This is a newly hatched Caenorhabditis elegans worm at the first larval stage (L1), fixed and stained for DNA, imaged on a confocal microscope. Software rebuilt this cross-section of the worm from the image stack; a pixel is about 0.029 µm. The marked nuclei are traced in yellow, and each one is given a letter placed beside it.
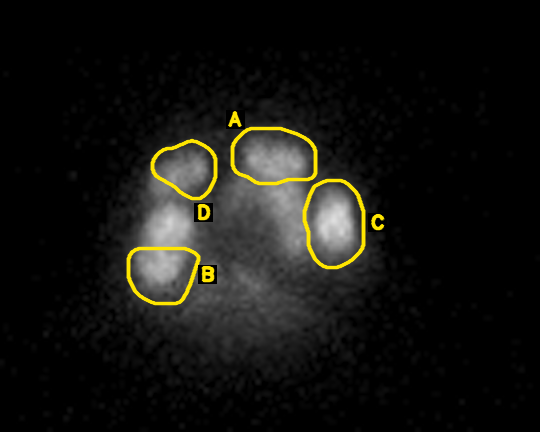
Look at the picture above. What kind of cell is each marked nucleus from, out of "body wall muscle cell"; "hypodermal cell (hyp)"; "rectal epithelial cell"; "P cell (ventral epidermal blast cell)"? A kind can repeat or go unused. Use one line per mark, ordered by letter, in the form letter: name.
A: P cell (ventral epidermal blast cell)
B: body wall muscle cell
C: rectal epithelial cell
D: hypodermal cell (hyp)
